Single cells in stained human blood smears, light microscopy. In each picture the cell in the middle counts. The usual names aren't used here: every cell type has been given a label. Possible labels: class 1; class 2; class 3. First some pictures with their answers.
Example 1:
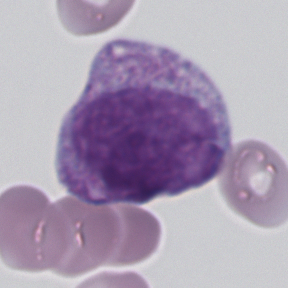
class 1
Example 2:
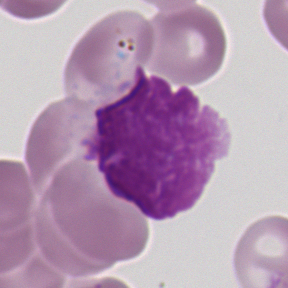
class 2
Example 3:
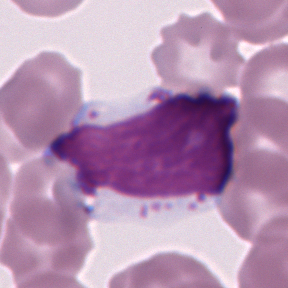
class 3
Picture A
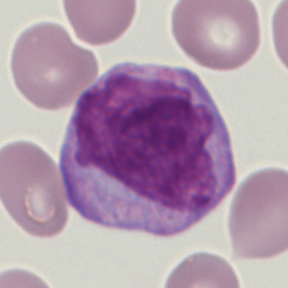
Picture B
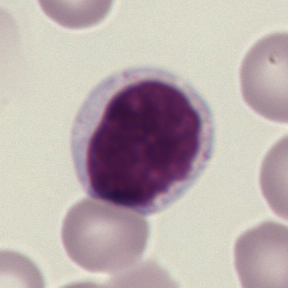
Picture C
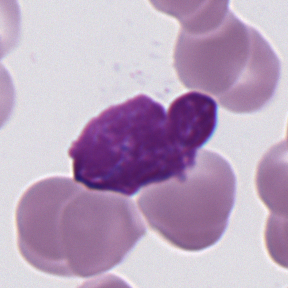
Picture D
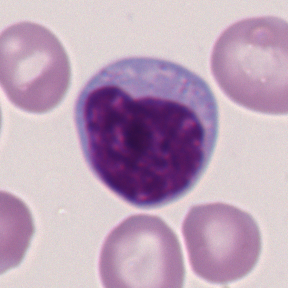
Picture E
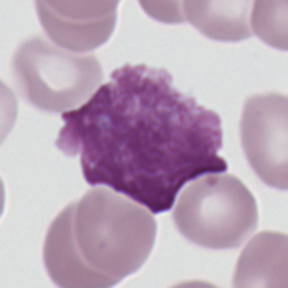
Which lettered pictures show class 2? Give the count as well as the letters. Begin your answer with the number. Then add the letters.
2, namely C, E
